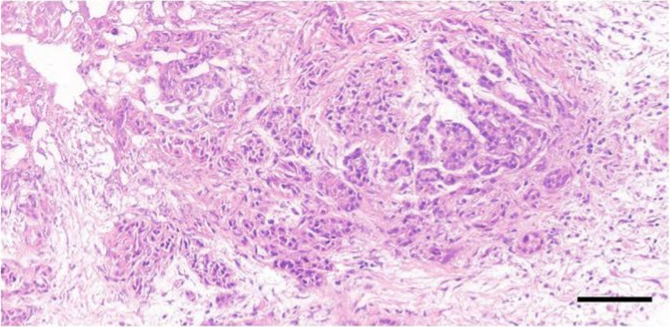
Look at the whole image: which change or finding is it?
Abundant interstitial components surrounding the tumor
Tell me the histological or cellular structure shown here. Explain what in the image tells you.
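Irregular glandular tubular and nested-like. Tumor cells form irregular nests and tubule-like groups. Some groups enclose small lumen-like spaces.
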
